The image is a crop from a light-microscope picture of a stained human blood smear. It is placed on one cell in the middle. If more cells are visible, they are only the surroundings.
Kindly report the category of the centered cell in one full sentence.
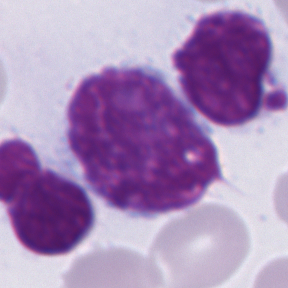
Centred in the crop is a myeloblast.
